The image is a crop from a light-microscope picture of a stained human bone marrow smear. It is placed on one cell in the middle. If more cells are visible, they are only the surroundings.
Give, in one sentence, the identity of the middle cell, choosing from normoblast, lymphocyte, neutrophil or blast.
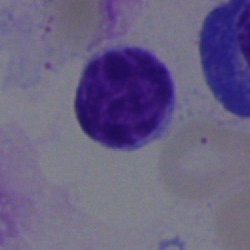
The cell found in the middle of this crop is a lymphocyte.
